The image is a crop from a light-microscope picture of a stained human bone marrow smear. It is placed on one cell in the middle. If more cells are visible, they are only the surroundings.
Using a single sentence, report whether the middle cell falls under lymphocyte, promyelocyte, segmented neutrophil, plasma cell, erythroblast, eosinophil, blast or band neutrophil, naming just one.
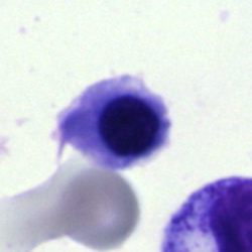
The cell centered in this field of view is an erythroblast.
